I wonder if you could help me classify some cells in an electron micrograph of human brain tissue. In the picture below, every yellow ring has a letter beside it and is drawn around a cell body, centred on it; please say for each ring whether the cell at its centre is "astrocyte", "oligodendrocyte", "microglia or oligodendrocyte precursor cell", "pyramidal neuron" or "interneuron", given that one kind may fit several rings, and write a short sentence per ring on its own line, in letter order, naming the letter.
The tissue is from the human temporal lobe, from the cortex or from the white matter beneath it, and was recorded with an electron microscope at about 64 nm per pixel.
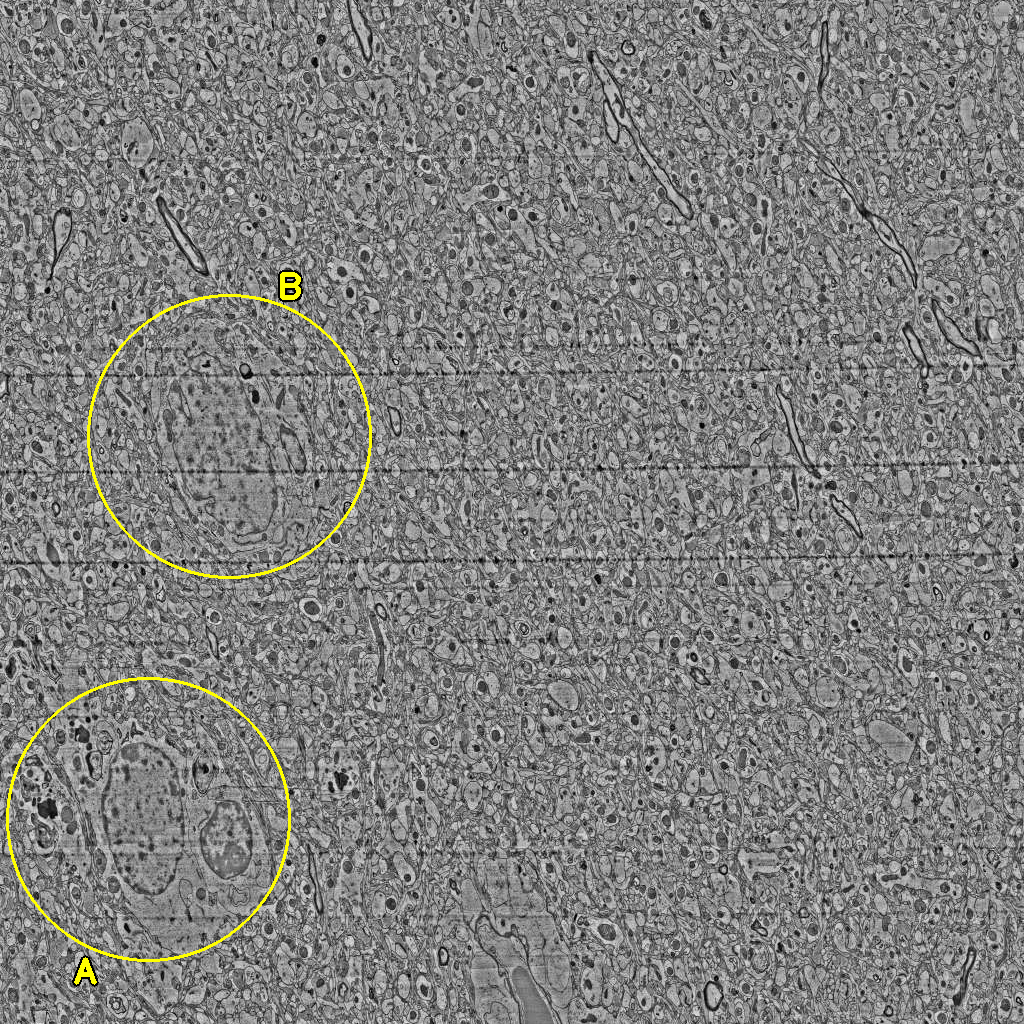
Centred in ring A is an astrocyte.
Centred in ring B is an interneuron.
